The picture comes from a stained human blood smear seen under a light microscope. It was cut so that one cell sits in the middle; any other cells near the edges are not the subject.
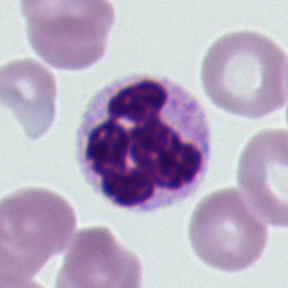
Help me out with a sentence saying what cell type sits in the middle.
The cell at the heart of this crop is a segmented neutrophil.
